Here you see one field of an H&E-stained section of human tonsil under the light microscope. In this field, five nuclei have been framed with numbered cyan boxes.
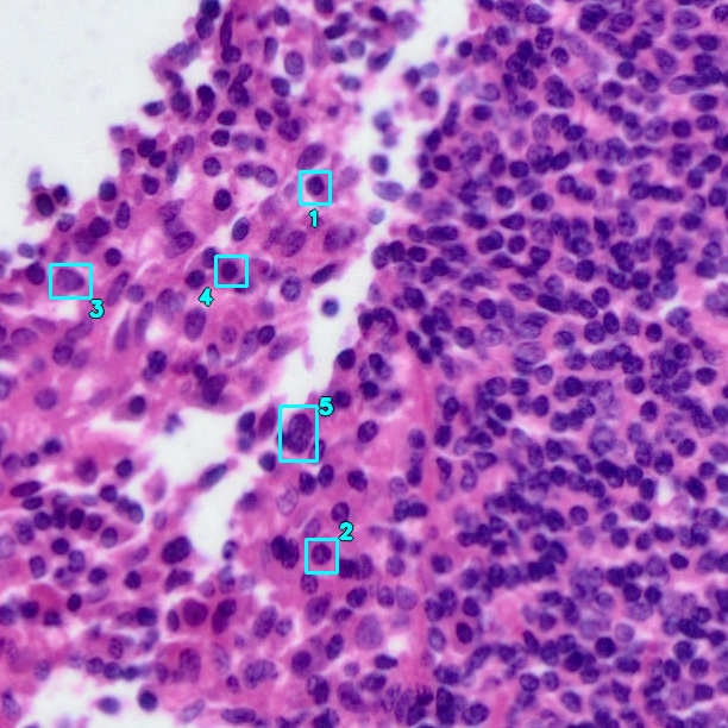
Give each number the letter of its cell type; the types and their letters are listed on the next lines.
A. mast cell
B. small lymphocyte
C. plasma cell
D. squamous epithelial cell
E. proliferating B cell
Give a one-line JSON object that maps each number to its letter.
{"1": "C", "2": "C", "3": "D", "4": "C", "5": "D"}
